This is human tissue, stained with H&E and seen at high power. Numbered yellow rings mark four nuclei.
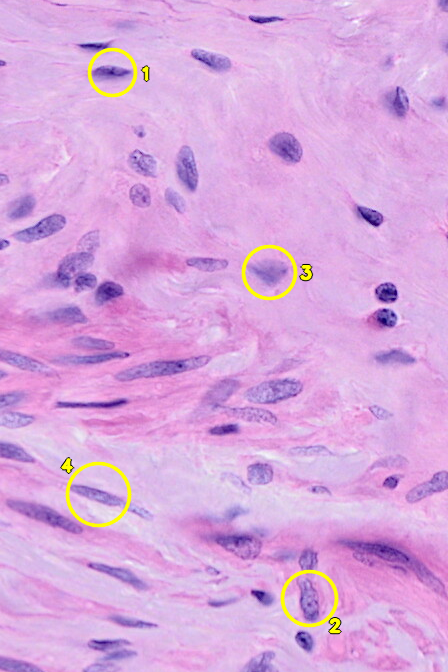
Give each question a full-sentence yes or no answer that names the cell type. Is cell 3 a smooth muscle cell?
No, cell 3 isn't a smooth muscle cell; it's a fibroblast.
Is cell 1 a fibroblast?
Yes, number 1 is assigned to a cell that is a fibroblast.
